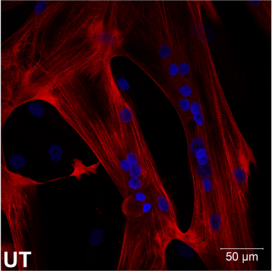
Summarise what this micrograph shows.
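Within each red cell, fine parallel filaments run along its length. Oval blue nuclei are scattered along the myotubes, several lying within a single red cell, some in small groups. A few blue nuclei lie at the edges of the red cells. The dark spaces between the myotubes hold no red signal.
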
